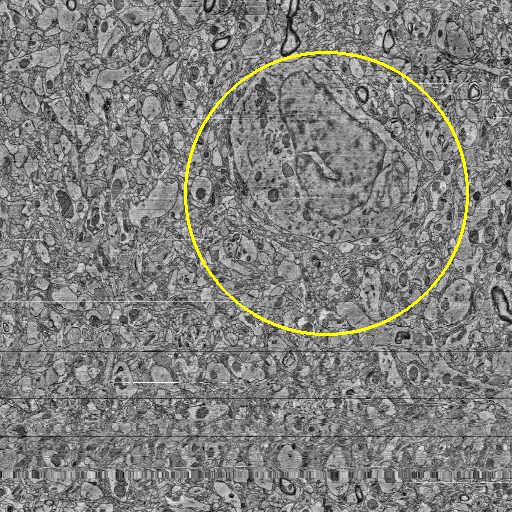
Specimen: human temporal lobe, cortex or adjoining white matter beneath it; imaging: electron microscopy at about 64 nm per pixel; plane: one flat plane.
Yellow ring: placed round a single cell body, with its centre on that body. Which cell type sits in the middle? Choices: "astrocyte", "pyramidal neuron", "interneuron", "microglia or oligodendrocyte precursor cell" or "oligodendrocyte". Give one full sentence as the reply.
It is an interneuron whose cell body sits at the centre of the yellow ring.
